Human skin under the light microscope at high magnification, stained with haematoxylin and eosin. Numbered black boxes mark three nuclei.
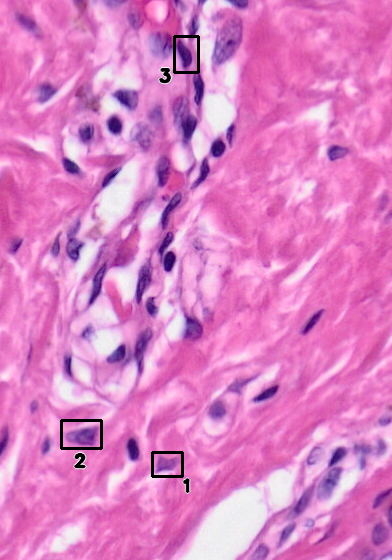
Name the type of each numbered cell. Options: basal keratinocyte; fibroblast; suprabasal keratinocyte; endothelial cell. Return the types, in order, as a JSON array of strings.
["fibroblast", "fibroblast", "endothelial cell"]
